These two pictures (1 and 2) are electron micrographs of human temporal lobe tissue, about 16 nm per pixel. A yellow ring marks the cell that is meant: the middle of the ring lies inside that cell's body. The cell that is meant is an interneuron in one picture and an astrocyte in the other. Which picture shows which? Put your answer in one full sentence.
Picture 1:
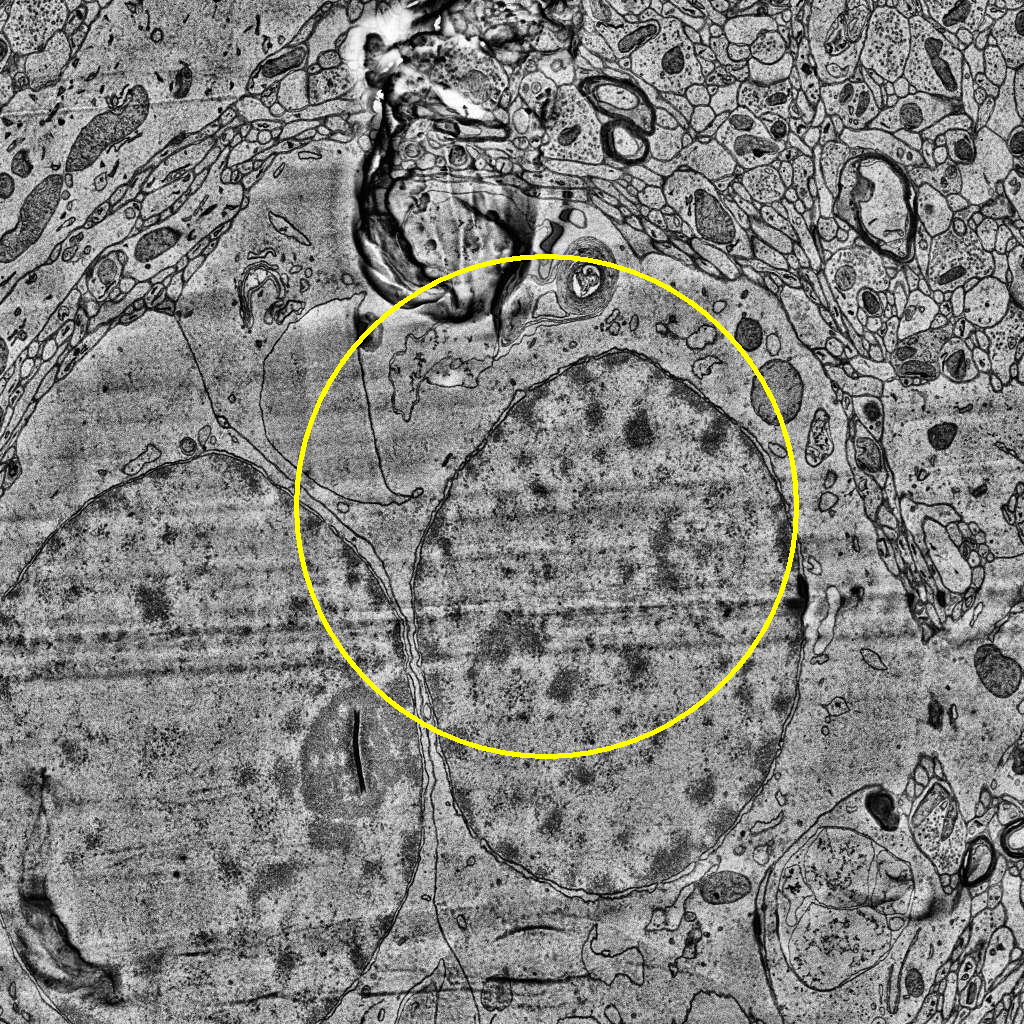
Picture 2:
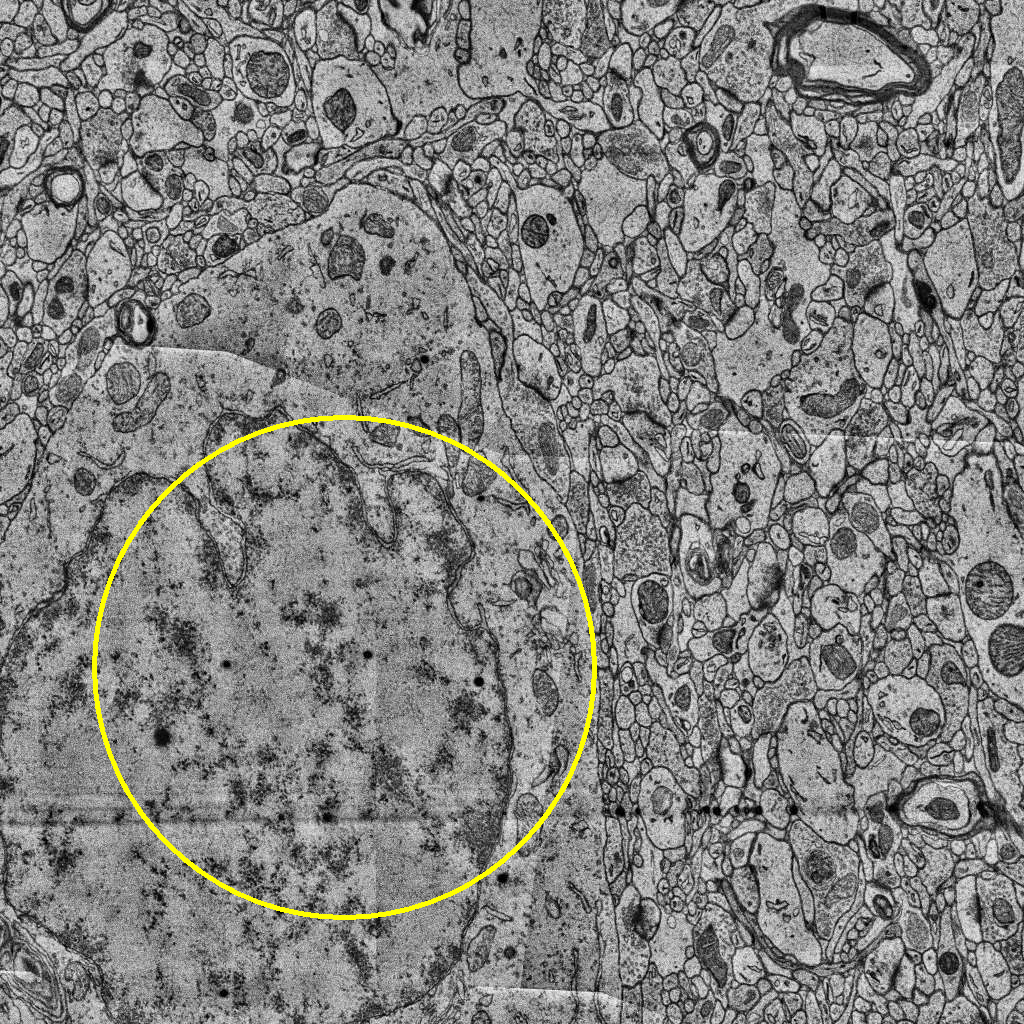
Picture 1 shows an astrocyte and picture 2 shows an interneuron.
